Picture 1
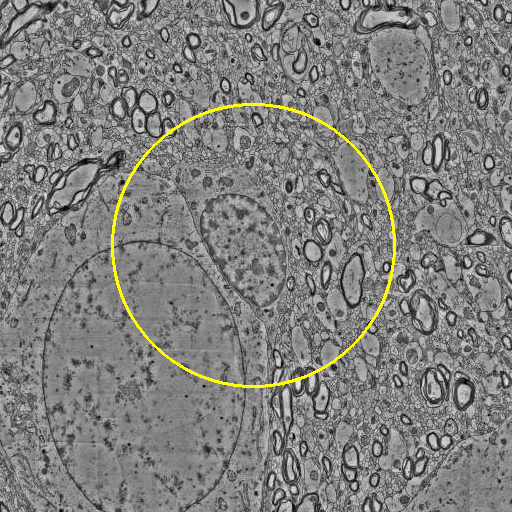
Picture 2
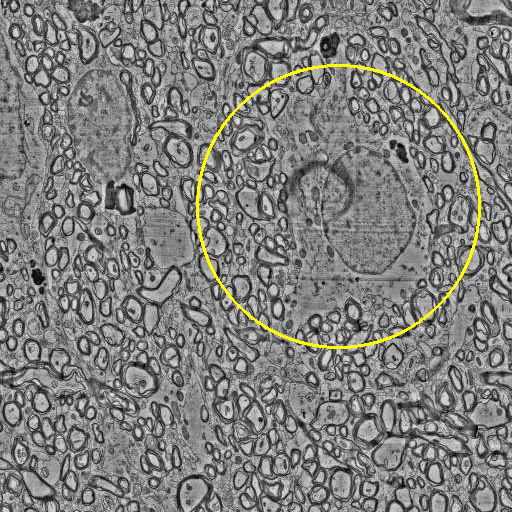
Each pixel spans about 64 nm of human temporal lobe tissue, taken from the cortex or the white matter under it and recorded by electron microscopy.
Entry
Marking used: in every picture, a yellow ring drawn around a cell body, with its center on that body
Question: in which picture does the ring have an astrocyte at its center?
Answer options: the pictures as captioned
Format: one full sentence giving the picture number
Picture 2 is where the ring's center falls on the requested cell.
